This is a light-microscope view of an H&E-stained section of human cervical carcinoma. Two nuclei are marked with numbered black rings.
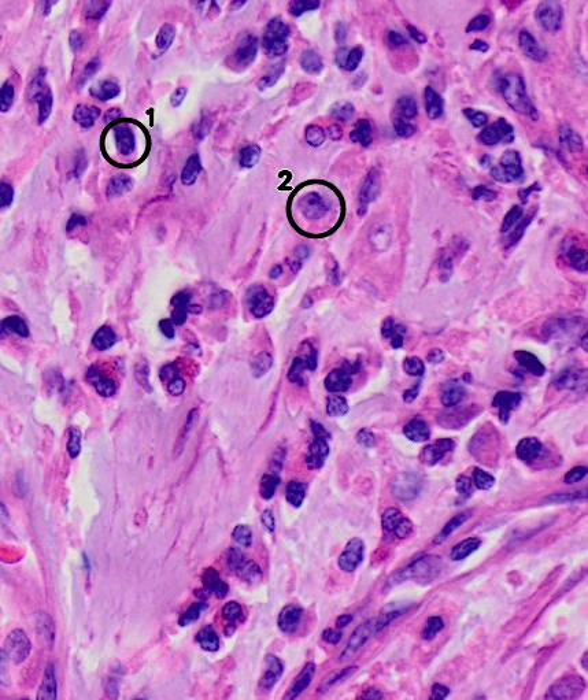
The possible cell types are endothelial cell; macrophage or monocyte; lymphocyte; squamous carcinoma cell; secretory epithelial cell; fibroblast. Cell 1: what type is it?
lymphocyte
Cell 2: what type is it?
macrophage or monocyte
